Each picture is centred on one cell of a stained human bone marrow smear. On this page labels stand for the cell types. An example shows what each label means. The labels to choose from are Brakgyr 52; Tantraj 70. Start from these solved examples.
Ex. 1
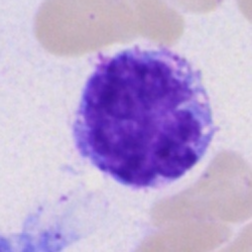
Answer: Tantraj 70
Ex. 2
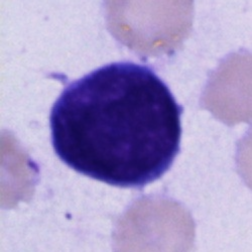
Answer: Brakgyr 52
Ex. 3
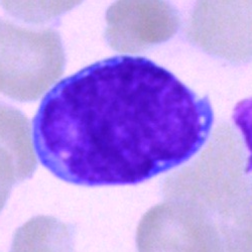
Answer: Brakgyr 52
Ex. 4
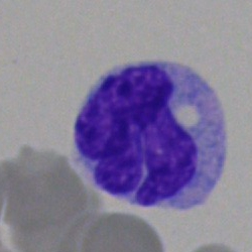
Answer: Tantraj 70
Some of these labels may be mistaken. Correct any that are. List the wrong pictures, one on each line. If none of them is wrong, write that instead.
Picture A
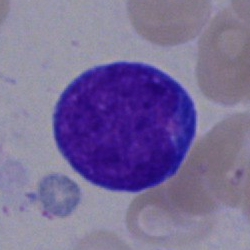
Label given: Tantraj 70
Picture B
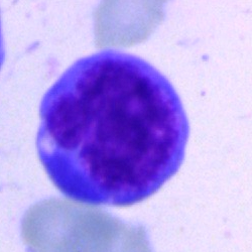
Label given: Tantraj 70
A: change Tantraj 70 to Brakgyr 52
B: change Tantraj 70 to Brakgyr 52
